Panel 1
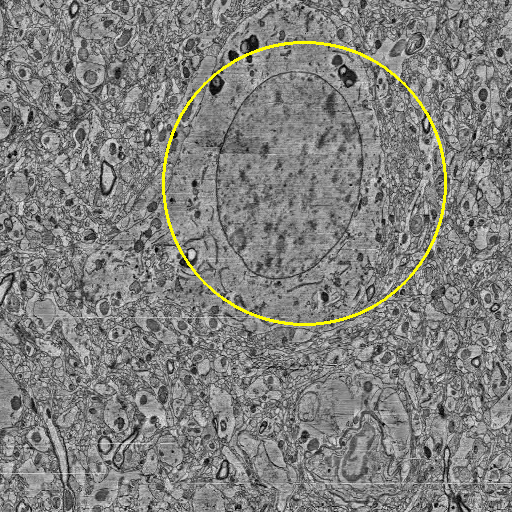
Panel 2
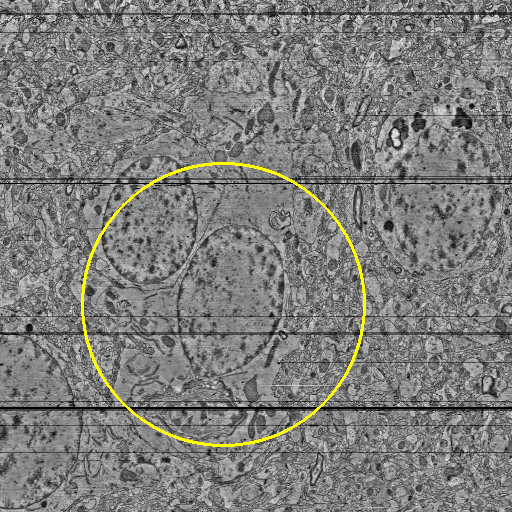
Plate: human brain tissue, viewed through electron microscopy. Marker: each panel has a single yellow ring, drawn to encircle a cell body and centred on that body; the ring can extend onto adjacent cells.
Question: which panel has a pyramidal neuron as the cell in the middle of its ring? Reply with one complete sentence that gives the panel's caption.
Panel 1 is where the requested cell sits at the centre of the ring.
